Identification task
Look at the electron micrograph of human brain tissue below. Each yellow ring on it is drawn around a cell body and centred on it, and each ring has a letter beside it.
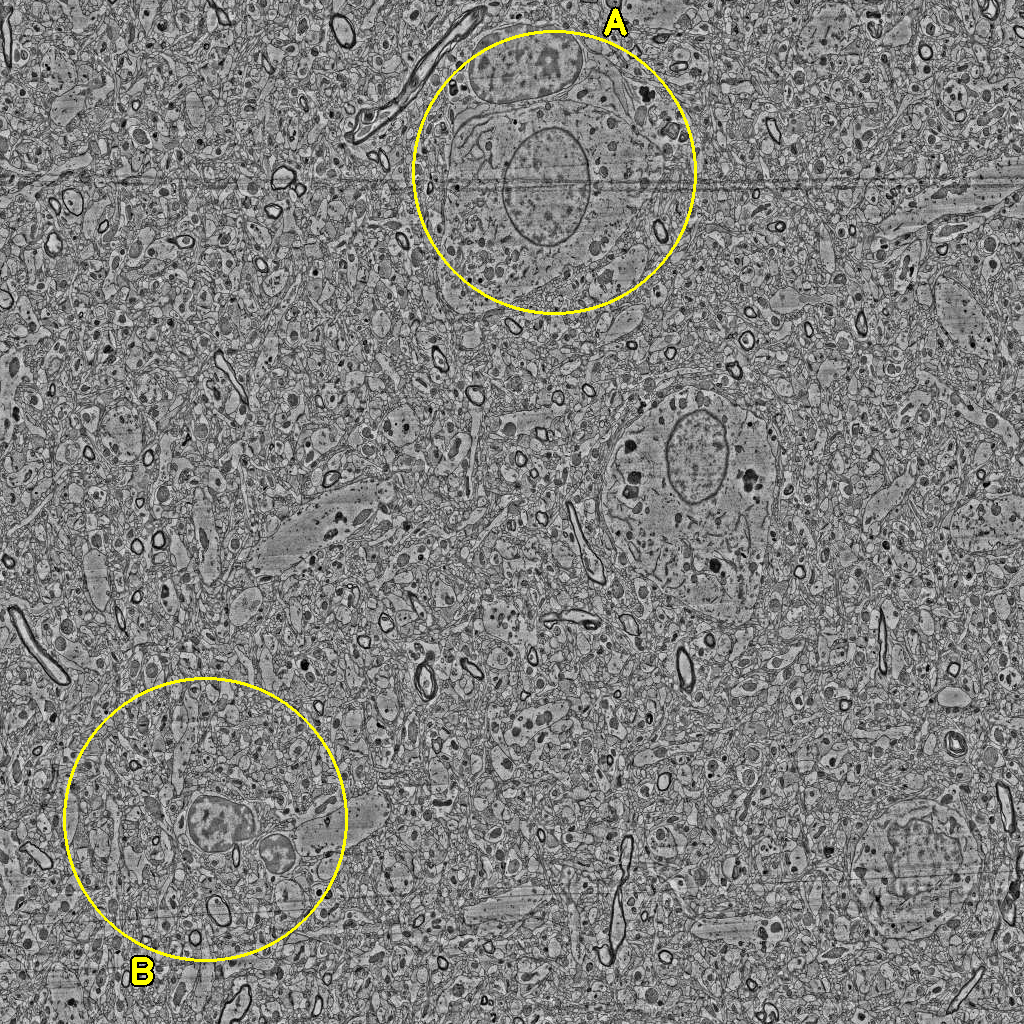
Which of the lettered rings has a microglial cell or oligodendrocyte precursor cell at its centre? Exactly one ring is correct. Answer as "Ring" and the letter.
Ring B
